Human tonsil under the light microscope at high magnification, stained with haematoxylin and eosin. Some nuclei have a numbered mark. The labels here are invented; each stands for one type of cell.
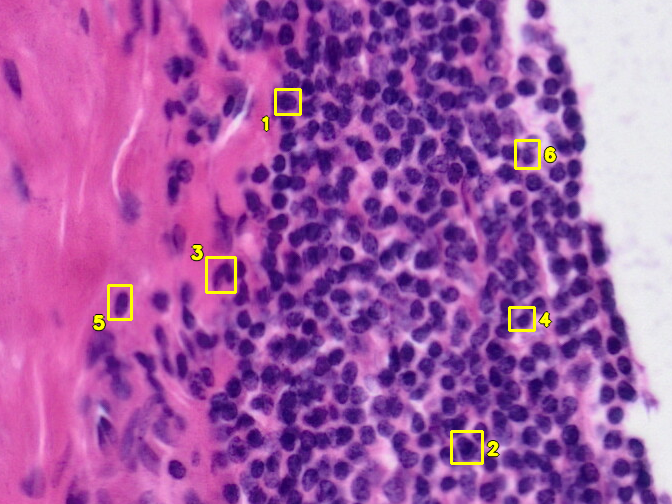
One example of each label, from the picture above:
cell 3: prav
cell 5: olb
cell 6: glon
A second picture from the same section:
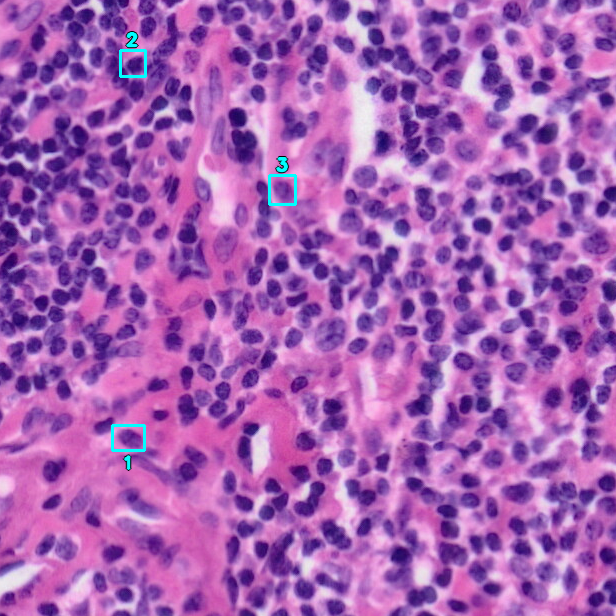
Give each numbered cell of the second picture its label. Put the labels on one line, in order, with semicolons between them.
olb; glon; prav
